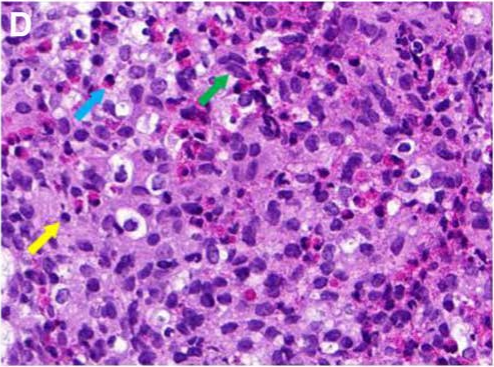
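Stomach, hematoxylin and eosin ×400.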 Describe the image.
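This is a dense infiltrate in the gastric mucosa made of intermediate-sized Langerhans cells with irregular, folded and grooved nuclei and pale pink cytoplasm. Mixed among them are many eosinophils with bright red granular cytoplasm and small lymphocytes with round dark nuclei and scant cytoplasm.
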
